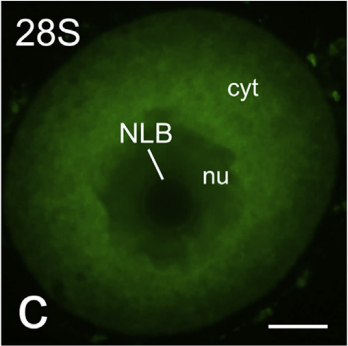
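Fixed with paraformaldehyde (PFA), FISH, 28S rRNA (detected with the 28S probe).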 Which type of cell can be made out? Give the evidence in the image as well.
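Oocytes. A single very large round cell fills most of the panel. A dark round body lies within the nucleus.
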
